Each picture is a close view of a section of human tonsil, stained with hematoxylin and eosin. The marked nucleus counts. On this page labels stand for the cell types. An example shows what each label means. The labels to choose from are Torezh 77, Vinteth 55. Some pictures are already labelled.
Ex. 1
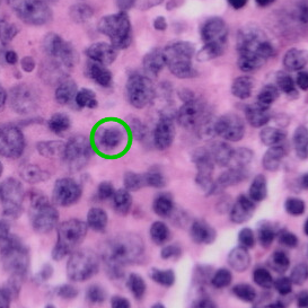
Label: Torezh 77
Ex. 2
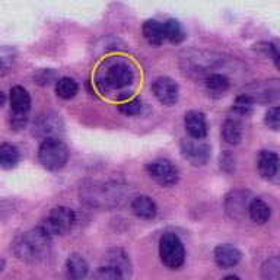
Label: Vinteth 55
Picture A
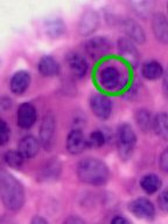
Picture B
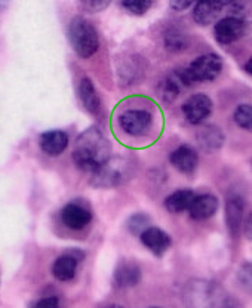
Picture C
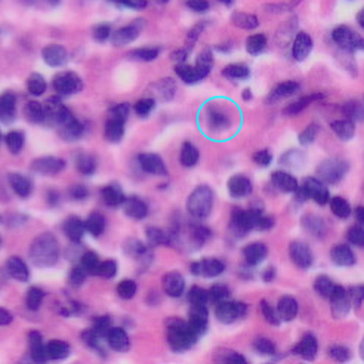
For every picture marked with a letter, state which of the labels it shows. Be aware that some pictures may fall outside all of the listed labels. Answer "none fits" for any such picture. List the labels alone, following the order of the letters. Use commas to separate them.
Vinteth 55, Vinteth 55, none fits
